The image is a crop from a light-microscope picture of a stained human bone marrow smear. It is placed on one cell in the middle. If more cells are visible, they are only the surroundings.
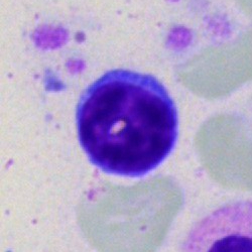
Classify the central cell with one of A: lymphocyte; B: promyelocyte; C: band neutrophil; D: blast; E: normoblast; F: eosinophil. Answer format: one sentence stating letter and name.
In the middle of the crop is a lymphocyte; option A is therefore correct.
